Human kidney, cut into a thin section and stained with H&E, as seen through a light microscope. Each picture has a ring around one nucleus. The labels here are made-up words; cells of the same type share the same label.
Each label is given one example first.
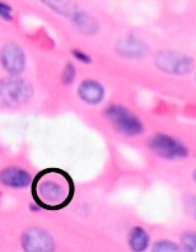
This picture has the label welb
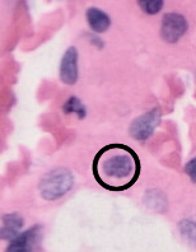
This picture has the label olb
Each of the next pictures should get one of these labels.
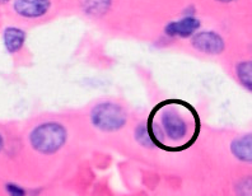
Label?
welb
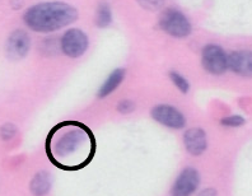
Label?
welb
